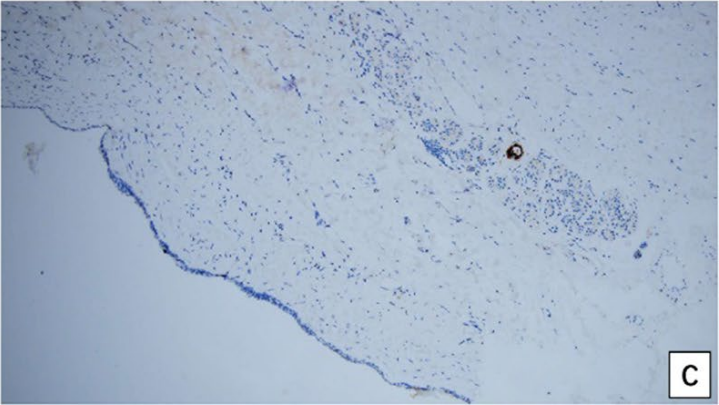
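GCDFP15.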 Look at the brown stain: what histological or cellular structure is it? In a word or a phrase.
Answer: A duct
